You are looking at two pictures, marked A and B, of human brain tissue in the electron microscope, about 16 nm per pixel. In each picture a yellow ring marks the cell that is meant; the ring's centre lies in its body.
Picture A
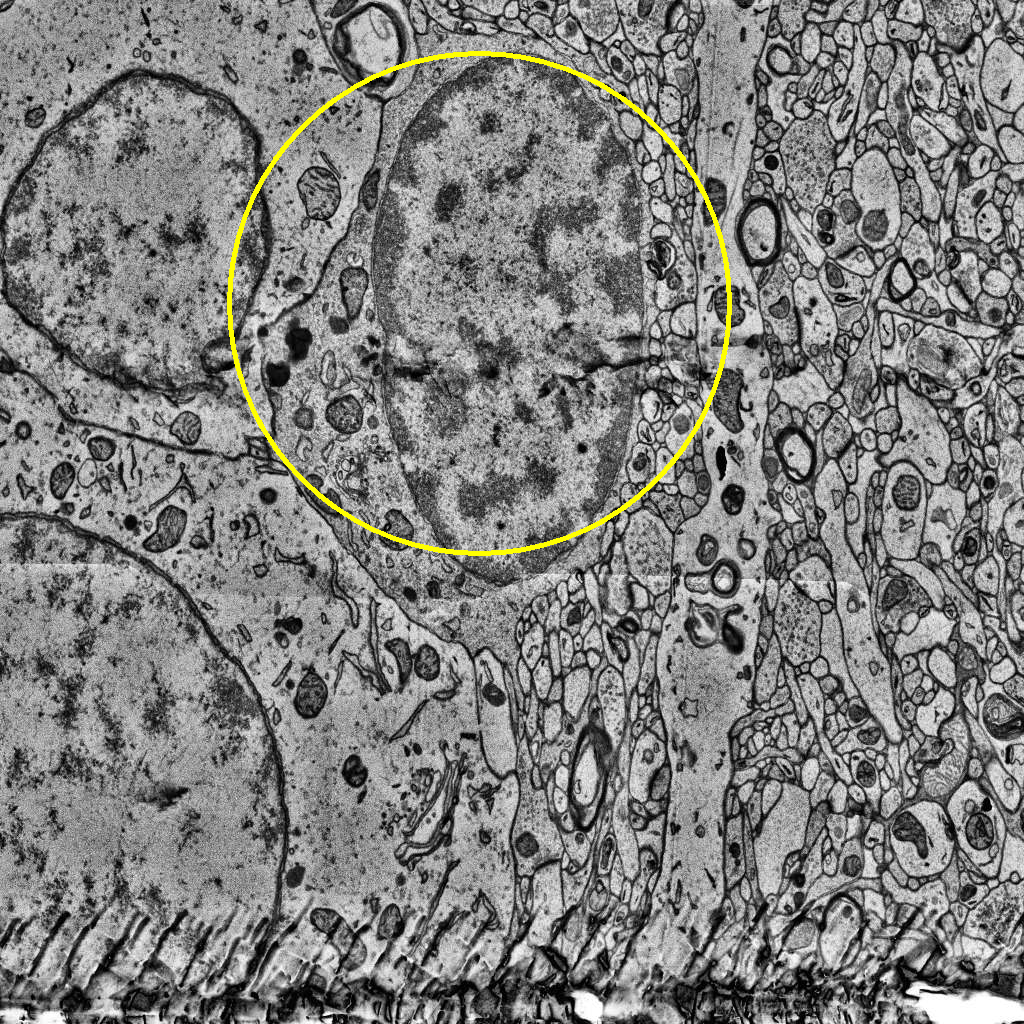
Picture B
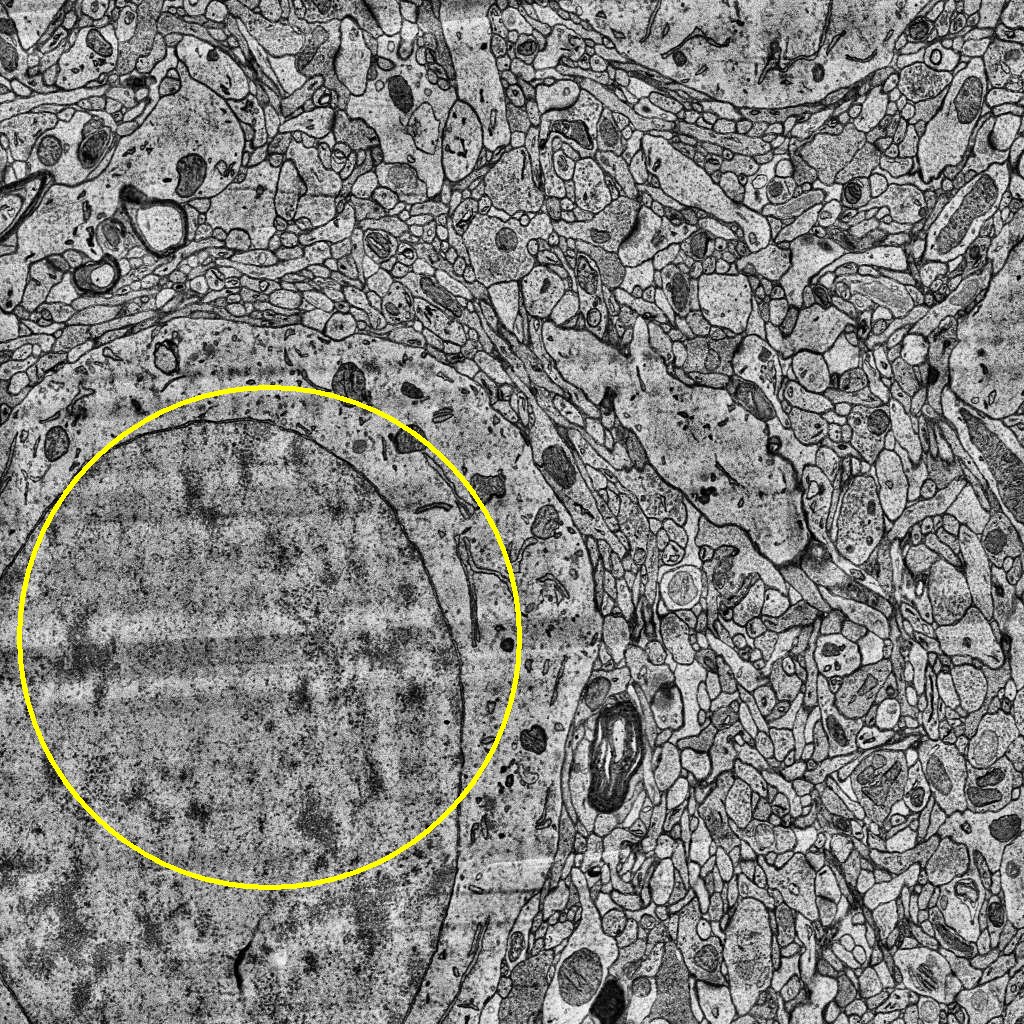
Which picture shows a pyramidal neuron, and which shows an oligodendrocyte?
The cell in picture A is an oligodendrocyte, and the one in picture B is a pyramidal neuron.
